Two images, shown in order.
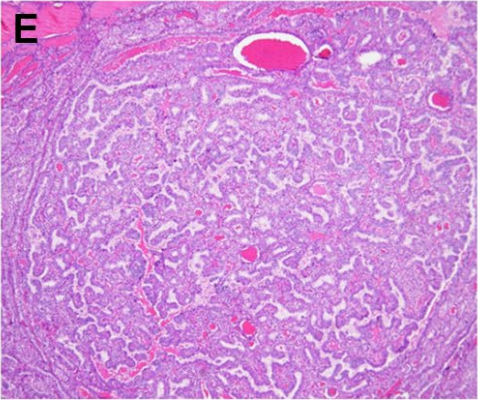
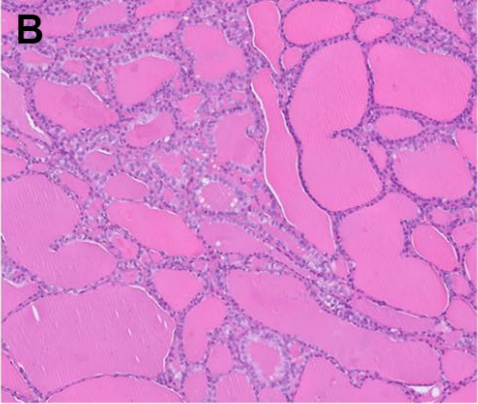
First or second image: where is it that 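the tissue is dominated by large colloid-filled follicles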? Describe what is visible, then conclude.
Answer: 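First image: densely packed branching epithelial structures with little colloid. Second image: large follicles filled with abundant pink colloid.
Conclusion: the second image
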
